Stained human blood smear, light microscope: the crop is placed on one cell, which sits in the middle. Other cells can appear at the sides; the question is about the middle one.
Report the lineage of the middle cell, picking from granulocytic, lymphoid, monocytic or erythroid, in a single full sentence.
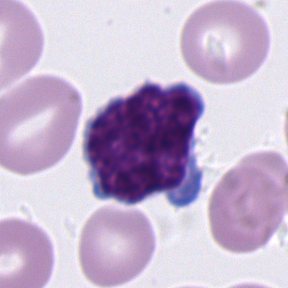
The cell at the crop's center is part of the lymphoid lineage.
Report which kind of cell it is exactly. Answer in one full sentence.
Occupying the centre of the crop is a typical lymphocyte.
